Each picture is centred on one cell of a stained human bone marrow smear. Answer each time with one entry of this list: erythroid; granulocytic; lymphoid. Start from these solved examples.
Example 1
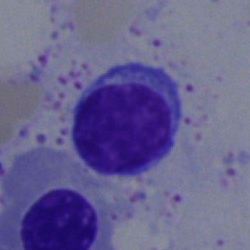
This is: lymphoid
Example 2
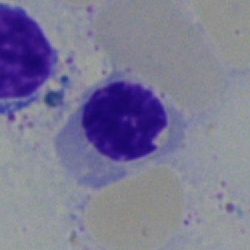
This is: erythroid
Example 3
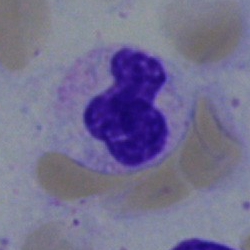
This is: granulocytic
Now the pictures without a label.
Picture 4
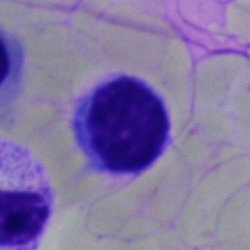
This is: lymphoid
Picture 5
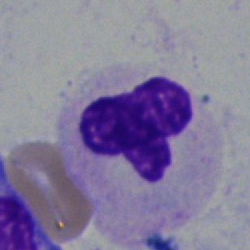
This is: granulocytic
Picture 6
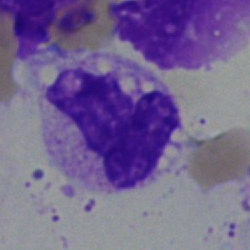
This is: granulocytic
